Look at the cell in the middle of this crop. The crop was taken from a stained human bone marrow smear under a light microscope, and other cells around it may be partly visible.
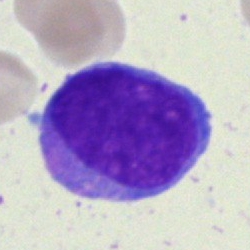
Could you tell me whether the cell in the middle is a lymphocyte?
no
